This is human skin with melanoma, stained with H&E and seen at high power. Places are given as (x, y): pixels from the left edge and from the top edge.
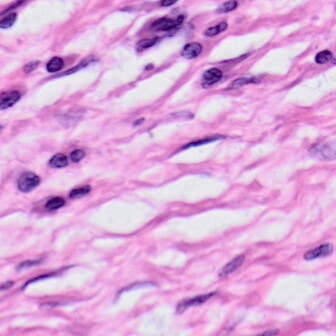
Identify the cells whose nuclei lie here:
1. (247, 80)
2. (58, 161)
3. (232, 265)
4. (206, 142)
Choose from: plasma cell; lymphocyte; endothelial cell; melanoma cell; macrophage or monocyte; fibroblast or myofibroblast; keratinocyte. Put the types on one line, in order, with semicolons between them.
fibroblast or myofibroblast; plasma cell; macrophage or monocyte; fibroblast or myofibroblast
